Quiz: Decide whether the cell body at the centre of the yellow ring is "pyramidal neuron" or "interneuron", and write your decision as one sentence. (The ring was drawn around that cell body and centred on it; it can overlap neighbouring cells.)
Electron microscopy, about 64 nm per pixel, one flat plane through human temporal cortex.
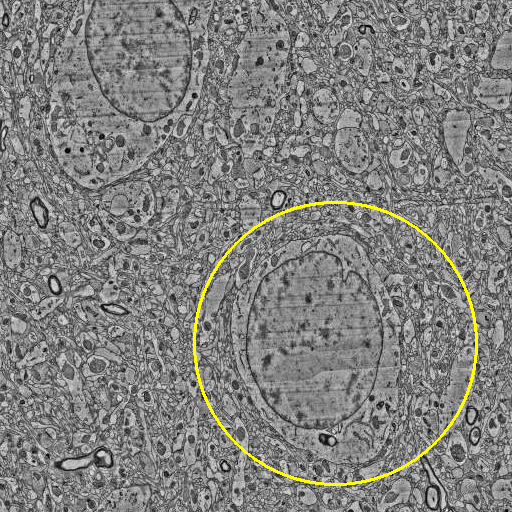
The cell the ring is centred on is a pyramidal neuron.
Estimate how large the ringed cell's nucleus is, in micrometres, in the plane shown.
In this plane, the nucleus is roughly 11 by 9 micrometres.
